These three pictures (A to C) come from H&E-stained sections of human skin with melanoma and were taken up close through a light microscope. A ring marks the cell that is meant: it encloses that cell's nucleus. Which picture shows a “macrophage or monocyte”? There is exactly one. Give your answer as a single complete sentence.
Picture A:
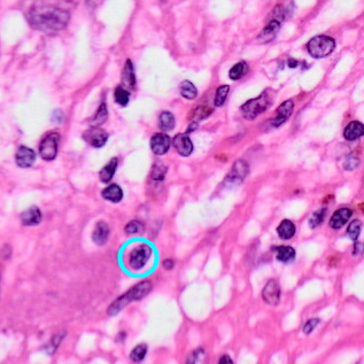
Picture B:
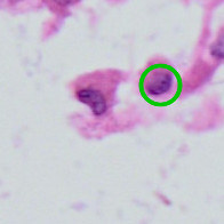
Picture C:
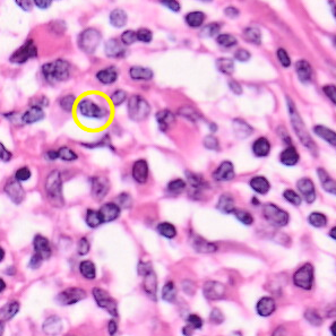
Picture B shows the “macrophage or monocyte”.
